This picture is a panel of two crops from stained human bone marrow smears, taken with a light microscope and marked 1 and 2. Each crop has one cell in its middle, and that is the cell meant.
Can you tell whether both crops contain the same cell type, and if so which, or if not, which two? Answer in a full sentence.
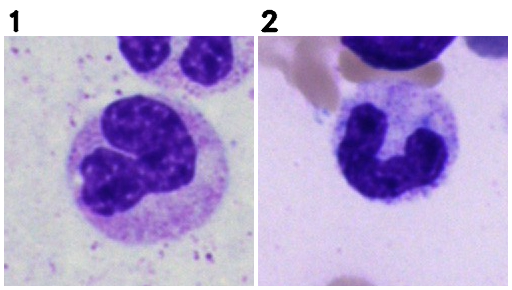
Yes, as shown in both crops, the central cells are band neutrophils.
